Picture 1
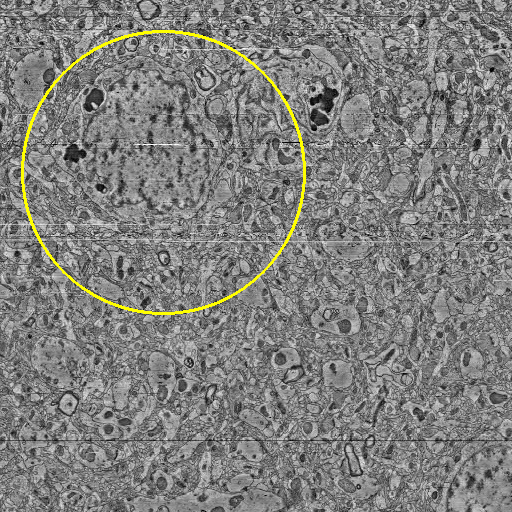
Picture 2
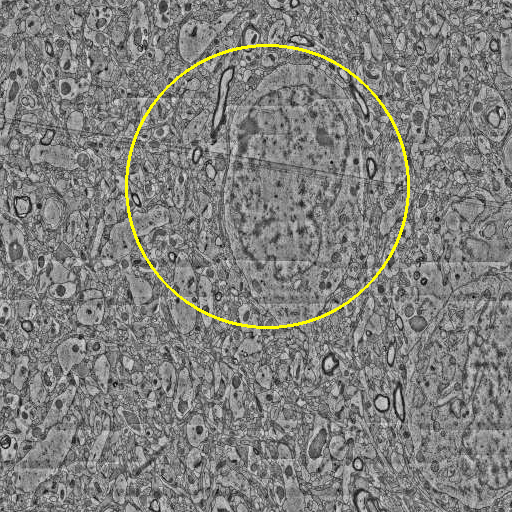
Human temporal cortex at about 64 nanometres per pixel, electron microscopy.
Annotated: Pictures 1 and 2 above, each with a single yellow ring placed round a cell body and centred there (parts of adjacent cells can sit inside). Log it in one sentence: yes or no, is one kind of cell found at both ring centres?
Yes, the ring centres of the two pictures hold cells of one kind.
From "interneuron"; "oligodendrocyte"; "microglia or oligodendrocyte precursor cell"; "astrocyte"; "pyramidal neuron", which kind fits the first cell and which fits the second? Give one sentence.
Both the first and the second picture show an interneuron in the ring.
